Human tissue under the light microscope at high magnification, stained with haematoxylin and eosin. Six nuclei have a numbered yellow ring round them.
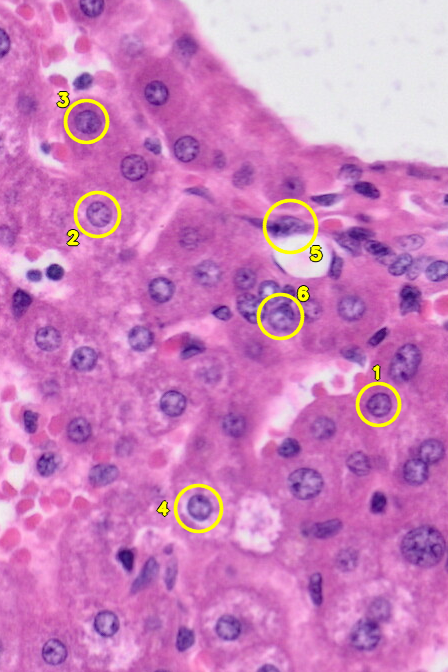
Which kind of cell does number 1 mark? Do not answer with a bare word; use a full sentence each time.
Marked with the number 1, this cell is a hepatocyte.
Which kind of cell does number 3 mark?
The cell assigned the number 3 is a hepatocyte.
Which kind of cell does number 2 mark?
The numeral 2 marks a hepatocyte in this section.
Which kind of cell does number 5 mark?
The nucleus labelled 5 belongs to a fibroblast or stellate cell.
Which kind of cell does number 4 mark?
The cell identified by the number 4 is a hepatocyte.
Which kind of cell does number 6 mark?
Cell 6 in the field is a cholangiocyte.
